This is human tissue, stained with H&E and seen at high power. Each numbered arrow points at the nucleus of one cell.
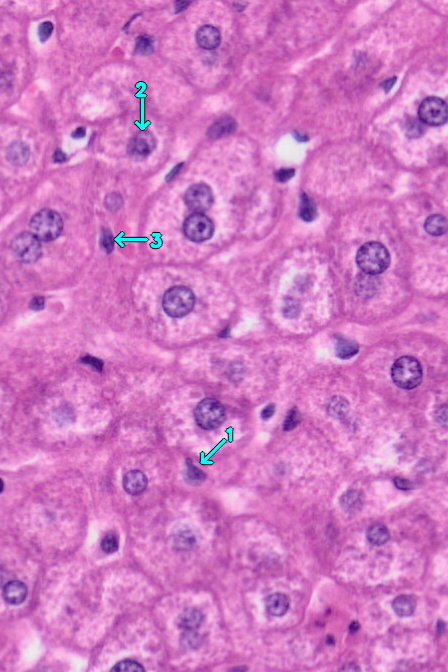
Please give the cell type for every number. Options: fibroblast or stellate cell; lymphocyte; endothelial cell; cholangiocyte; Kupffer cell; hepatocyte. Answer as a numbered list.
1. endothelial cell
2. hepatocyte
3. endothelial cell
